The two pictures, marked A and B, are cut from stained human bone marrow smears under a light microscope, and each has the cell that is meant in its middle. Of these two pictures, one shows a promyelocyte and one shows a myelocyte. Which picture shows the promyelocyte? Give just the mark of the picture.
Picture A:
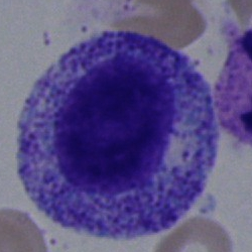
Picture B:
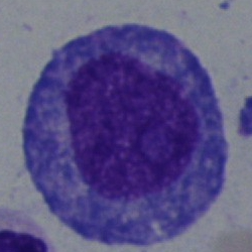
B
